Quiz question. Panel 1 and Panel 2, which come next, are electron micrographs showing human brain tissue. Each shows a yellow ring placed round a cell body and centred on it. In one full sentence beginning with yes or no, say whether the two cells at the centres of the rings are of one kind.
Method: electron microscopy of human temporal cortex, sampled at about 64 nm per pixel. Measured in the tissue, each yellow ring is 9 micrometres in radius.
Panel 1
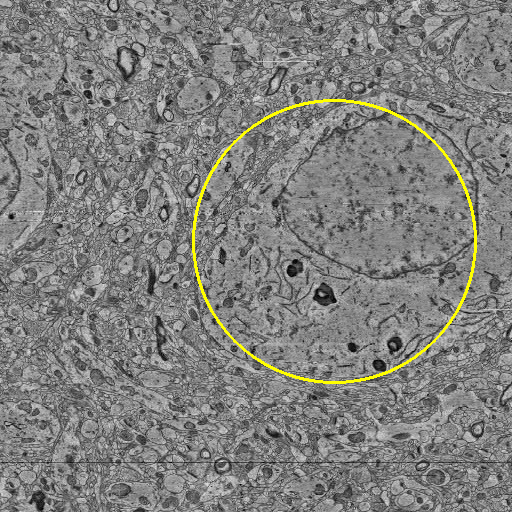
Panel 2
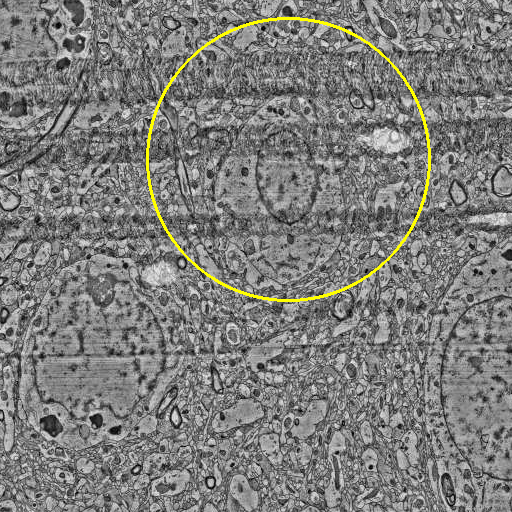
Yes, Panel 1 and Panel 2 show one kind of cell at the centre of the ring.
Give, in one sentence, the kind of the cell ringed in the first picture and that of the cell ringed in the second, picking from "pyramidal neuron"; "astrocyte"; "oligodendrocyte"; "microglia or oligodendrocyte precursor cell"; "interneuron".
Both the first and the second picture show a pyramidal neuron in the ring.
